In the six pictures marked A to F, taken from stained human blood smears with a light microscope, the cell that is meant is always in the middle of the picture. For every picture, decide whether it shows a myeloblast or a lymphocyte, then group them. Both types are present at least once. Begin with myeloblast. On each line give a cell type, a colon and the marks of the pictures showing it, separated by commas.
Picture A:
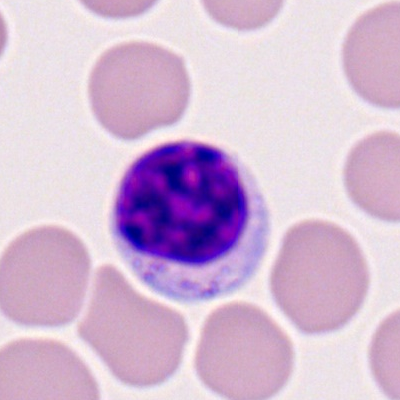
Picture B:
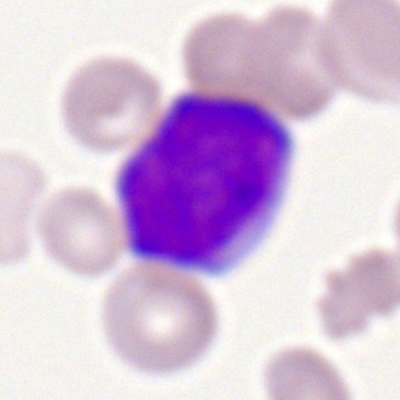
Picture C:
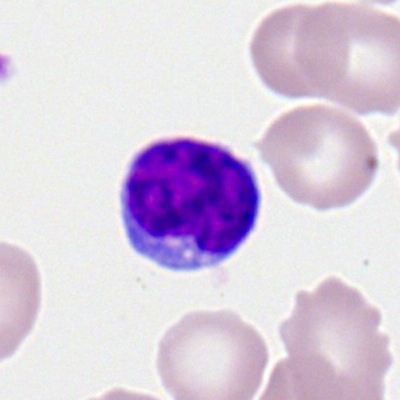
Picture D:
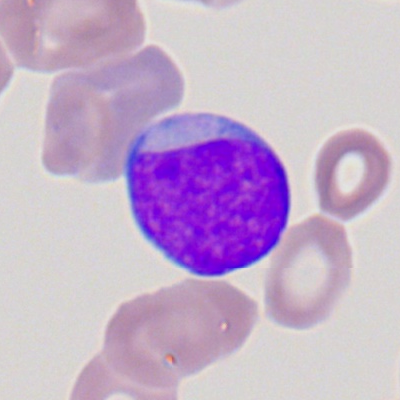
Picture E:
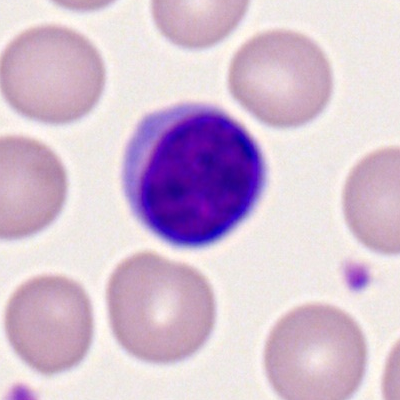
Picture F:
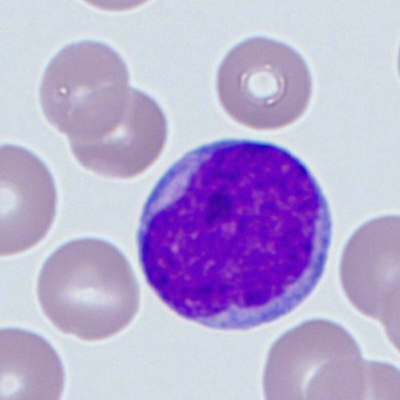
myeloblast: B, D, F
lymphocyte: A, C, E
